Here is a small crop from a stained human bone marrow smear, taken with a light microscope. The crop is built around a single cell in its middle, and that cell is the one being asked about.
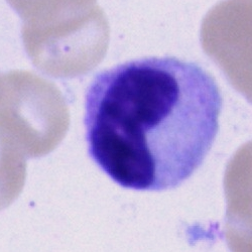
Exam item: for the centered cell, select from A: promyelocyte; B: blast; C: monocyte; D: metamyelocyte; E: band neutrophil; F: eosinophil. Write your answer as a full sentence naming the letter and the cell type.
Well, the cell in the middle is a metamyelocyte, making option D right.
